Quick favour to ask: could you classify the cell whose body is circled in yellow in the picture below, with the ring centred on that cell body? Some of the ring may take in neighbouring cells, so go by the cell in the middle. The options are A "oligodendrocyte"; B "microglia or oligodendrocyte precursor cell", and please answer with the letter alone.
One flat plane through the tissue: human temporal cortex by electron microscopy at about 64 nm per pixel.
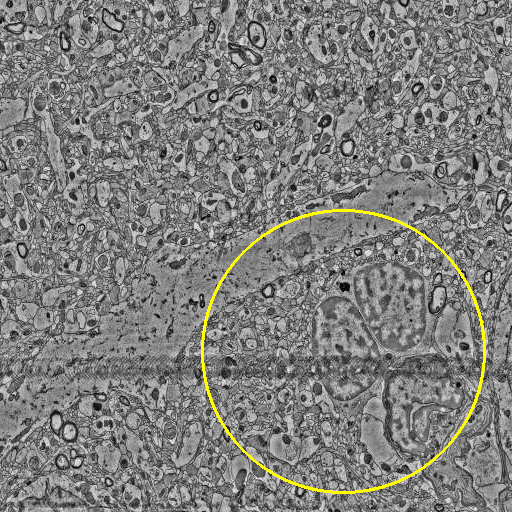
A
